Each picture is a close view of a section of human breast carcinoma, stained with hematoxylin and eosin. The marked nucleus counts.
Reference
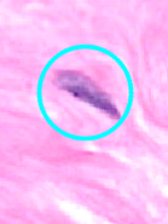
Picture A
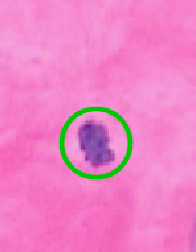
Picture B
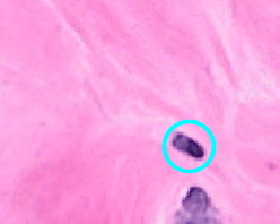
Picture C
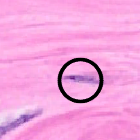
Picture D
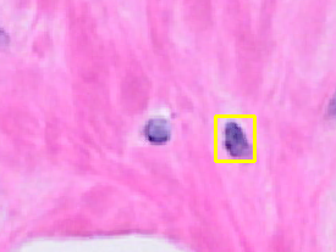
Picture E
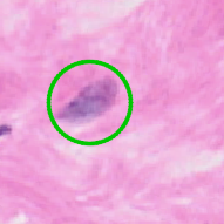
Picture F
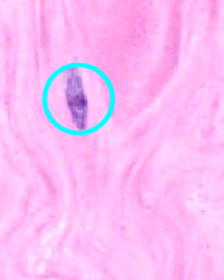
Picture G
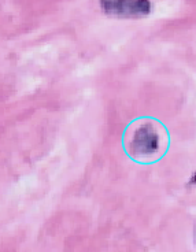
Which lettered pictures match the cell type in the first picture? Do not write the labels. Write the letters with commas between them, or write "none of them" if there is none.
C, E, F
